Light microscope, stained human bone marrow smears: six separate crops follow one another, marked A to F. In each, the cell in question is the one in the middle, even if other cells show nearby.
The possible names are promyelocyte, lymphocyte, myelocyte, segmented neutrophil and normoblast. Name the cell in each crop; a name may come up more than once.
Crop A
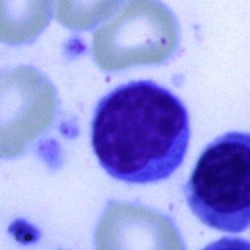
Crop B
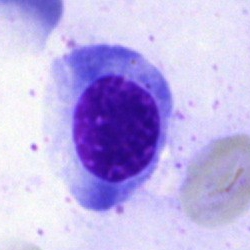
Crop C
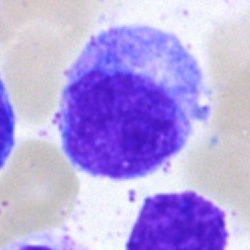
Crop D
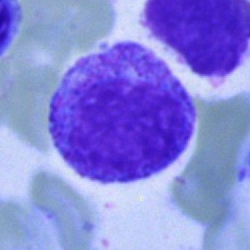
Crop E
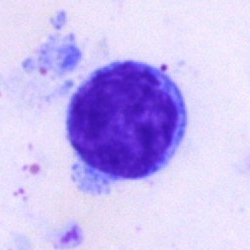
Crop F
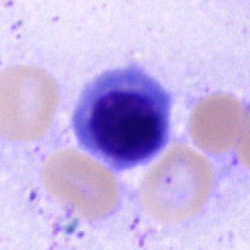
A: lymphocyte
B: normoblast
C: myelocyte
D: myelocyte
E: lymphocyte
F: normoblast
